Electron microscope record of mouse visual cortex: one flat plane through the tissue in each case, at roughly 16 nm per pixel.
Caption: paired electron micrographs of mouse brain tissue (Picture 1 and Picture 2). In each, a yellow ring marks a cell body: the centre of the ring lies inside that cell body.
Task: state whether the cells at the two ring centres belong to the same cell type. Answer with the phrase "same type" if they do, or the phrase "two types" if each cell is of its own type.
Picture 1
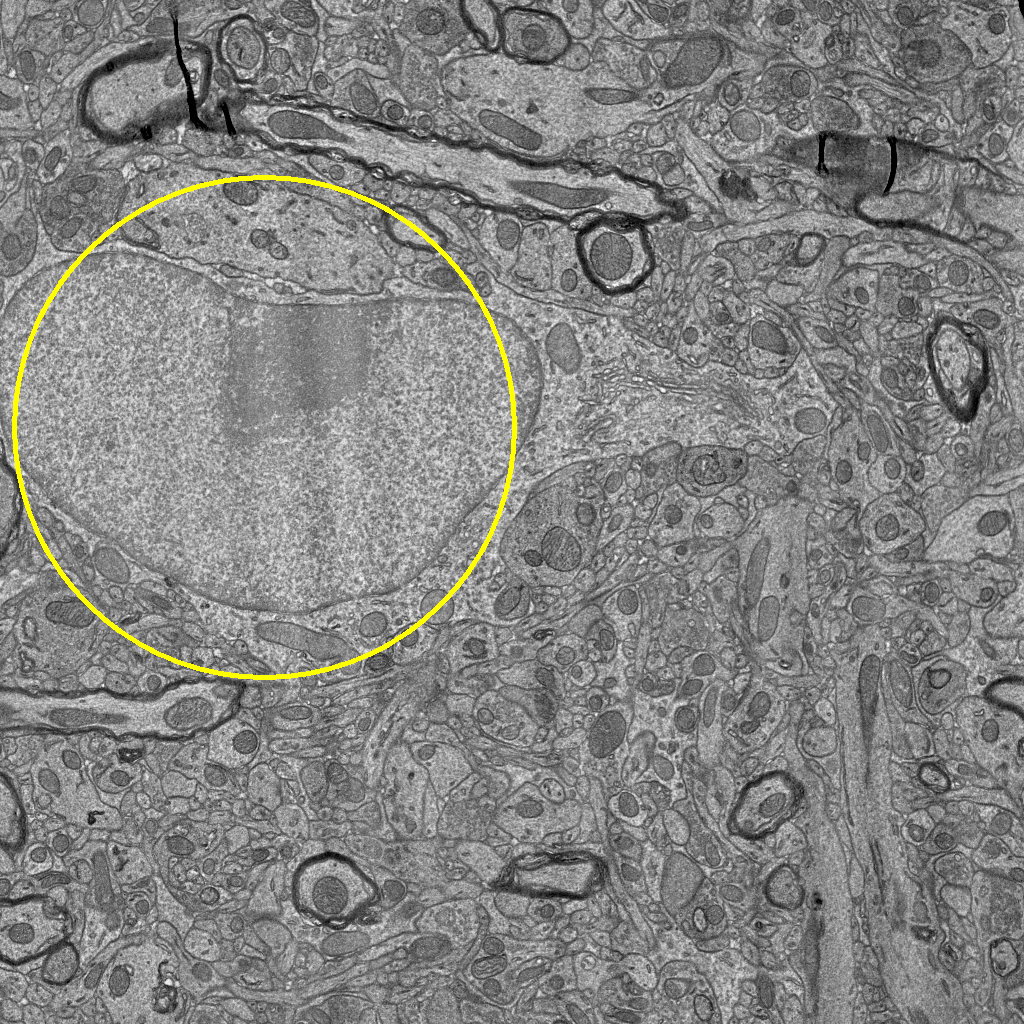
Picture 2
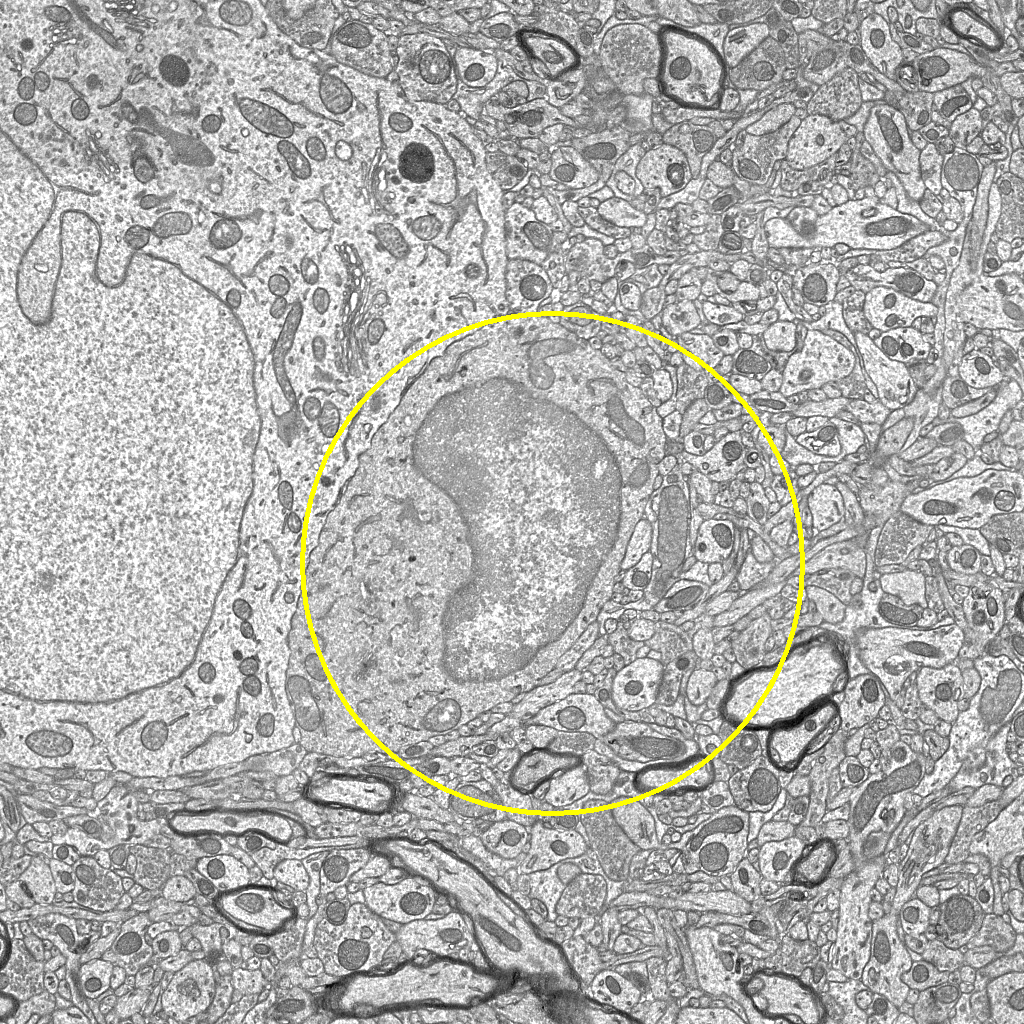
two types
